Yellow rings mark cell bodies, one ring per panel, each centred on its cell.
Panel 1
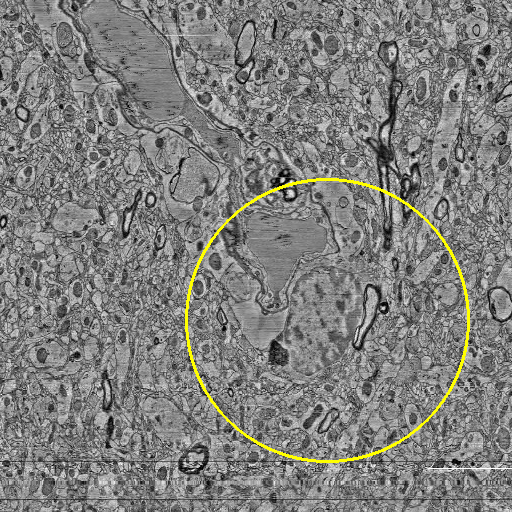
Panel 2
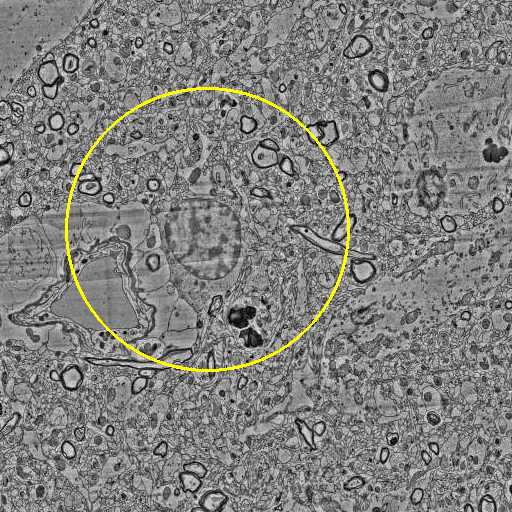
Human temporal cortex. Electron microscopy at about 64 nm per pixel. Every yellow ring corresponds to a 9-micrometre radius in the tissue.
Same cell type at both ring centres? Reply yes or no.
yes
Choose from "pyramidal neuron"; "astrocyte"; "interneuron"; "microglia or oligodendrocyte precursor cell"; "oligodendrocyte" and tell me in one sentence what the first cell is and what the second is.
Each of the two cells is an oligodendrocyte.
